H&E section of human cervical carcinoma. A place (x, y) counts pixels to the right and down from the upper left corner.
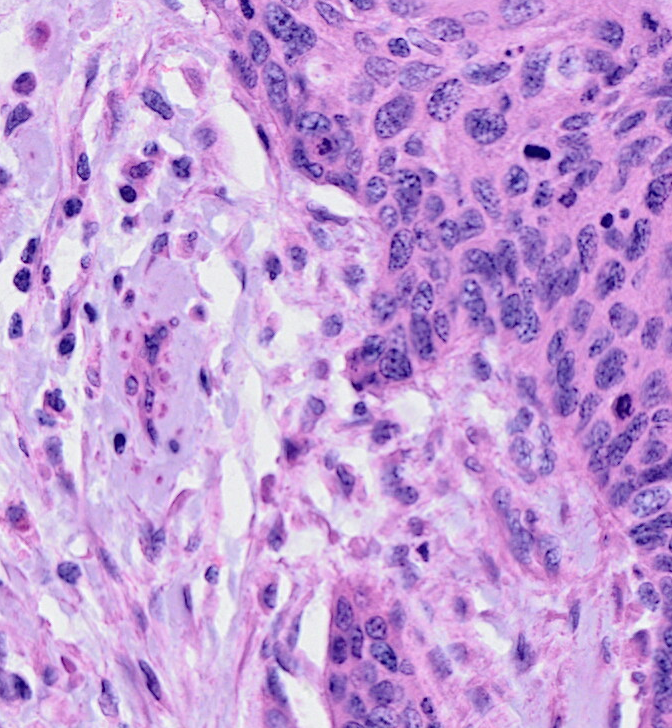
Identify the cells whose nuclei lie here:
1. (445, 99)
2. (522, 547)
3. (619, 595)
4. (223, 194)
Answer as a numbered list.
1. squamous carcinoma cell
2. endothelial cell
3. fibroblast
4. fibroblast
